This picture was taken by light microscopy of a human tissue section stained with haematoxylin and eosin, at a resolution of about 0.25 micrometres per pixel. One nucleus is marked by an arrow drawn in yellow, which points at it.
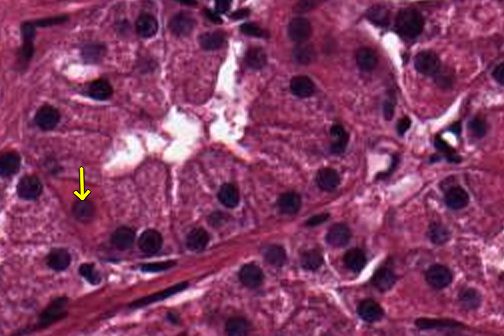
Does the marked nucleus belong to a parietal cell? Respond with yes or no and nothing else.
yes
